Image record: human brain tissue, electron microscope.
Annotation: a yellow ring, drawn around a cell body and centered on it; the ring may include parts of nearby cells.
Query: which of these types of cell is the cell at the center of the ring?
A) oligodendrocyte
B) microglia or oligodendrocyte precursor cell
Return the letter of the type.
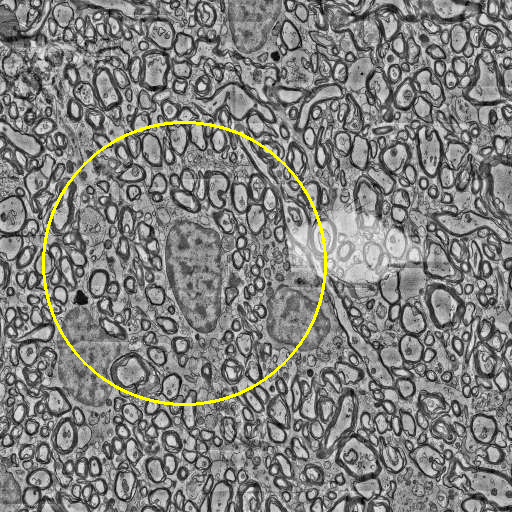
B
